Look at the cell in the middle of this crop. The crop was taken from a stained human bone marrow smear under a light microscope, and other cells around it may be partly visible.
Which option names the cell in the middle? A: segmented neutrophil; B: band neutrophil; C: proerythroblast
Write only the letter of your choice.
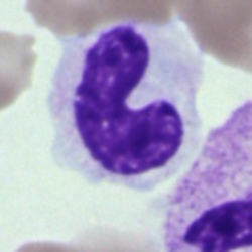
B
